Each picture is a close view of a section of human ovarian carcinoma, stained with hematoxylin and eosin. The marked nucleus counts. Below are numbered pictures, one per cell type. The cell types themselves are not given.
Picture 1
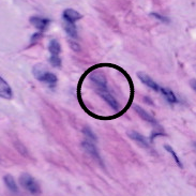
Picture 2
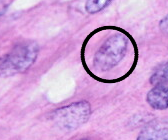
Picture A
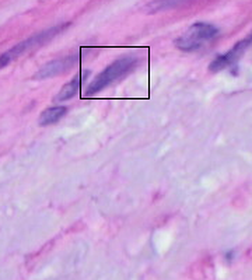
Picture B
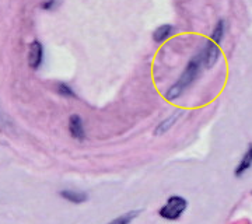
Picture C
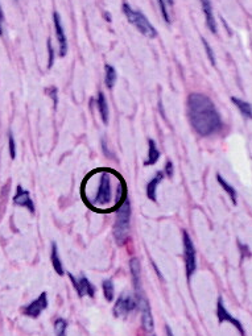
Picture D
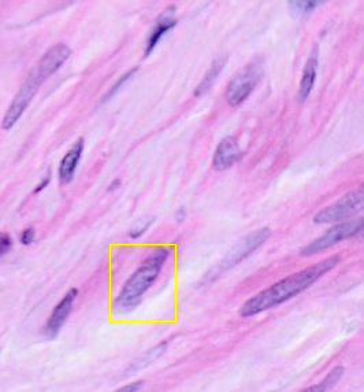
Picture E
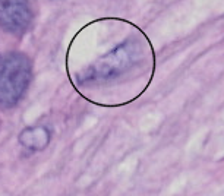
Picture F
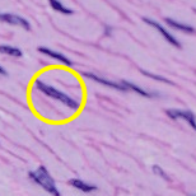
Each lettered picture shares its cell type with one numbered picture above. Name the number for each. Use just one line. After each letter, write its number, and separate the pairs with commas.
A 1, B 1, C 2, D 1, E 2, F 2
